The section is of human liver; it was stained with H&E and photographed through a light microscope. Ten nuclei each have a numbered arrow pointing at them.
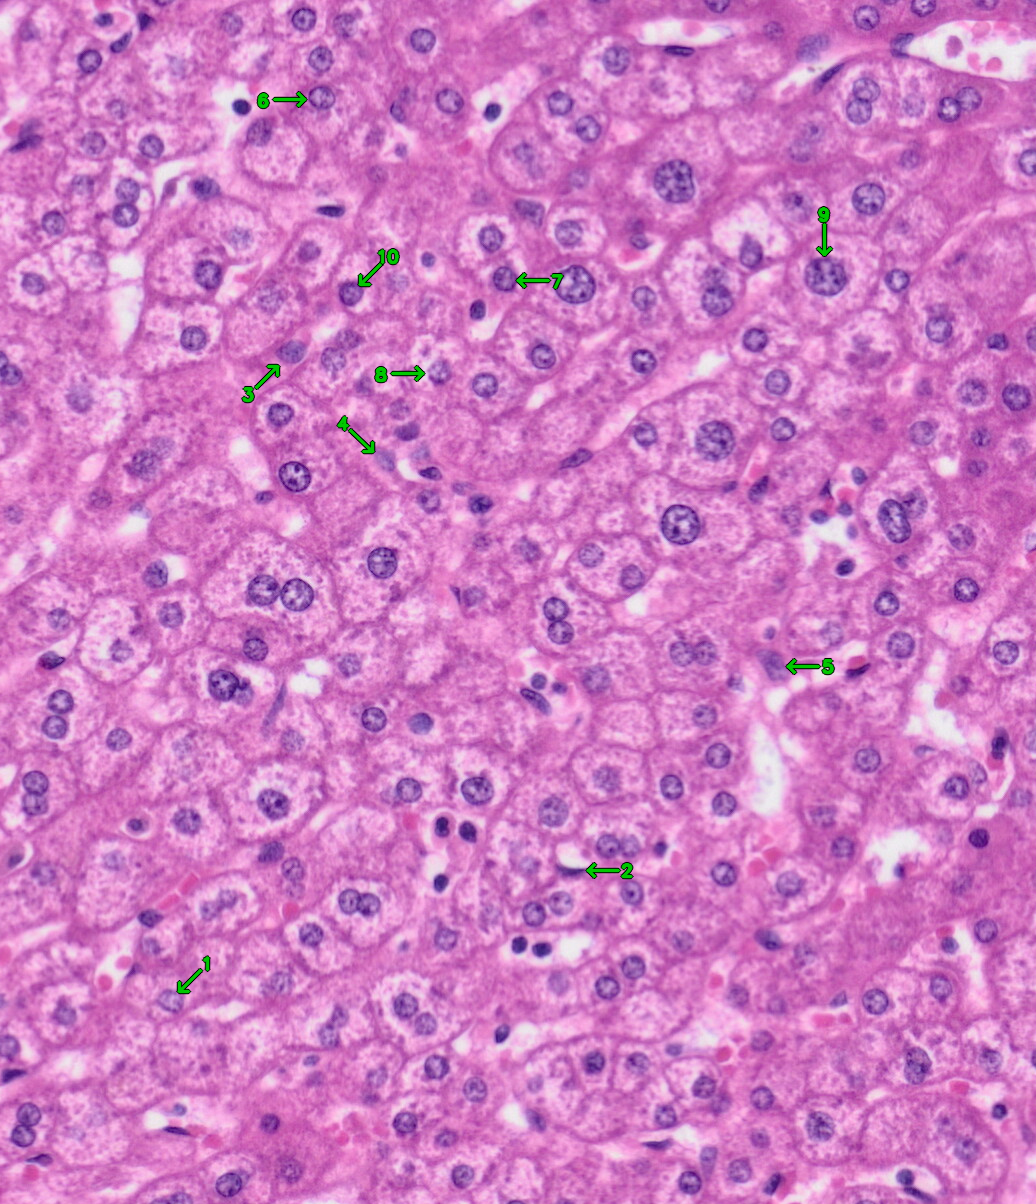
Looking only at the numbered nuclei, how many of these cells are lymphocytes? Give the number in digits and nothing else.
0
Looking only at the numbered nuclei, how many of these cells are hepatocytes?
6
